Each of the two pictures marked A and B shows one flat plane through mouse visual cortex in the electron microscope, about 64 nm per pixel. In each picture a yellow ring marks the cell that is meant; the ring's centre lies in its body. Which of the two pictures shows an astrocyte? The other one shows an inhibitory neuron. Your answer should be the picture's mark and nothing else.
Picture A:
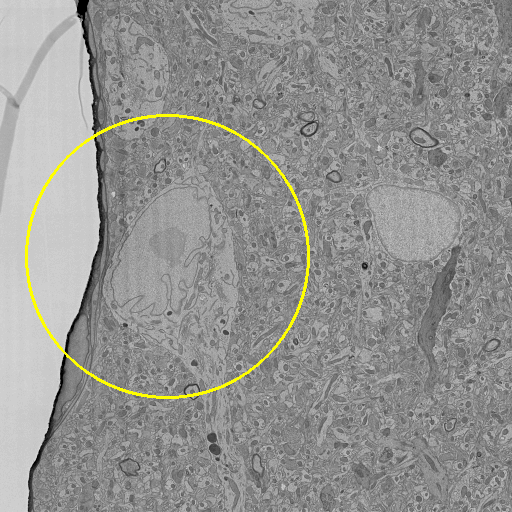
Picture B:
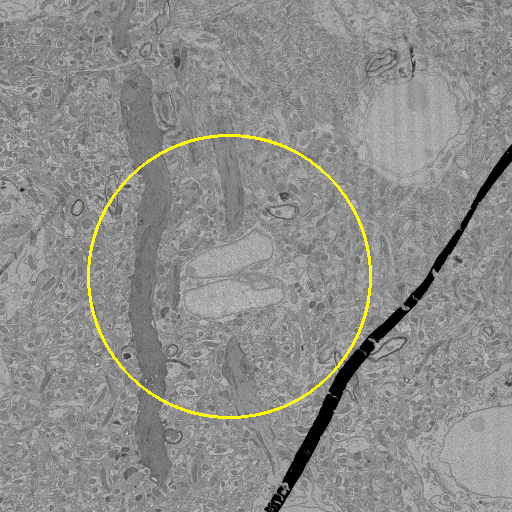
B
